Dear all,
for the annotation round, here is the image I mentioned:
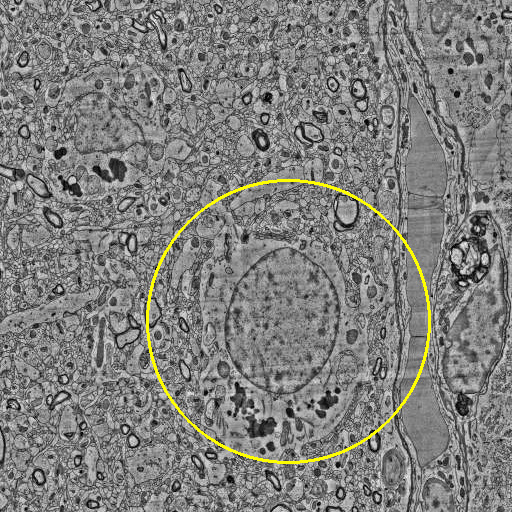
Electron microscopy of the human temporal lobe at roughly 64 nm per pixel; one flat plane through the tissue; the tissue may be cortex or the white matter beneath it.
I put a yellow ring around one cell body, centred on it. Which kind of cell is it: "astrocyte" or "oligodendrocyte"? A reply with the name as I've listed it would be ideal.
astrocyte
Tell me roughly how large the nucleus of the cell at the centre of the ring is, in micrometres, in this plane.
In this plane, approximately 9 by 7 micrometers.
